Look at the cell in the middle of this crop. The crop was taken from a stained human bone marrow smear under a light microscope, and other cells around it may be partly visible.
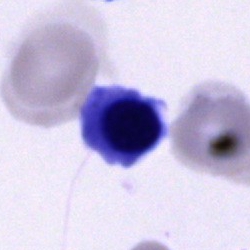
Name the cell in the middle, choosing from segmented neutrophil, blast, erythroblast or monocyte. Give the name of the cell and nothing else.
erythroblast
